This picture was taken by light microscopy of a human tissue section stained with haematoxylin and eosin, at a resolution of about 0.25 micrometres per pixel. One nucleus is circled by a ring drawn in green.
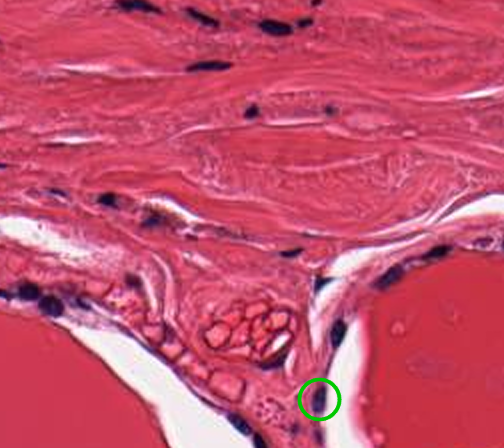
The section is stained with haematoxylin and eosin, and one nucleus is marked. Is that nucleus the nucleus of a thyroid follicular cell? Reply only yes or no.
yes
